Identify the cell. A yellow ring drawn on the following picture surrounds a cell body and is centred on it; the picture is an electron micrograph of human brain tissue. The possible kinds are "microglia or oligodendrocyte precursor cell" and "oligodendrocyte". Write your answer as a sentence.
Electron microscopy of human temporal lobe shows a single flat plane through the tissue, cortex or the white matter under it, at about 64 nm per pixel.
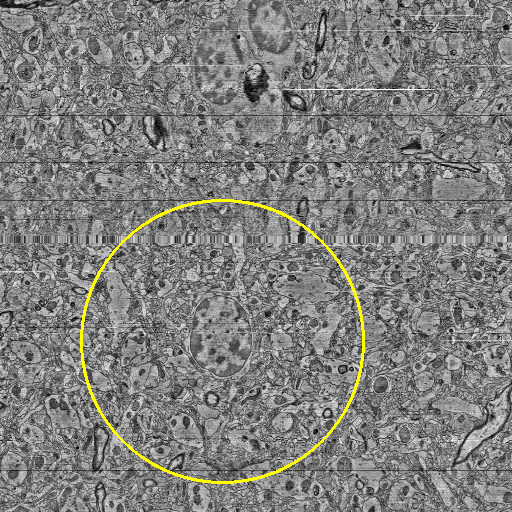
The cell identified by the ring is a microglial cell or oligodendrocyte precursor cell.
